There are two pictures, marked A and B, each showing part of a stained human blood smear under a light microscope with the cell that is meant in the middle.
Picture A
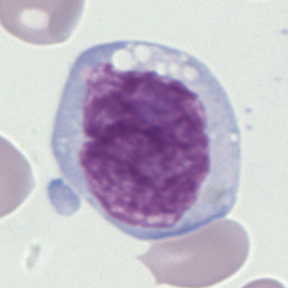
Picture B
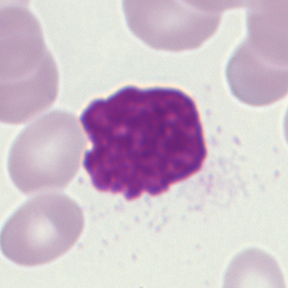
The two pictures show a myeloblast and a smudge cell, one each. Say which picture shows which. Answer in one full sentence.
Picture B shows a smudge cell, while picture A shows a myeloblast.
